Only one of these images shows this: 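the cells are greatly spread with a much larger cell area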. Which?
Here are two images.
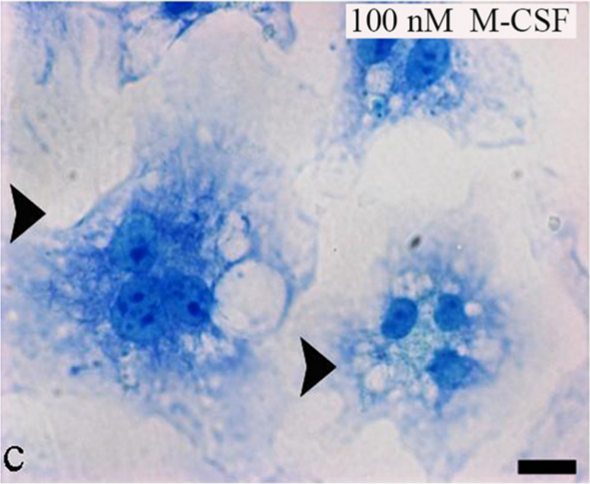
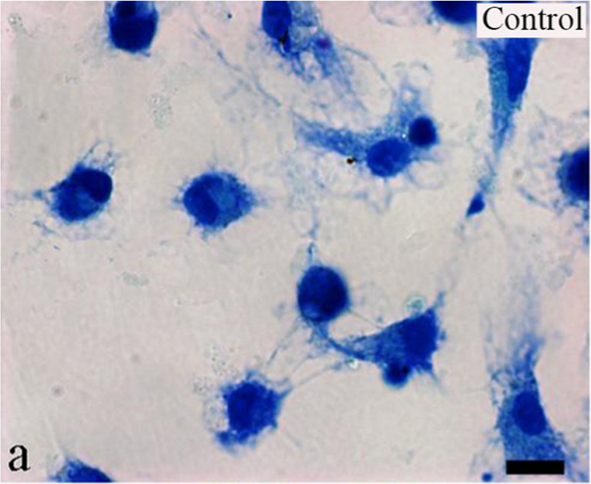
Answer: the first image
